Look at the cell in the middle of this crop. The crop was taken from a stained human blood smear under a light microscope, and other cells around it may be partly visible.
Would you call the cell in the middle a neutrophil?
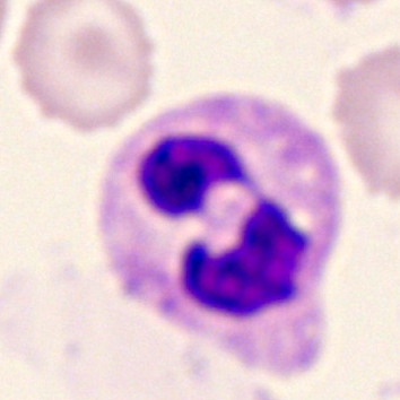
yes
